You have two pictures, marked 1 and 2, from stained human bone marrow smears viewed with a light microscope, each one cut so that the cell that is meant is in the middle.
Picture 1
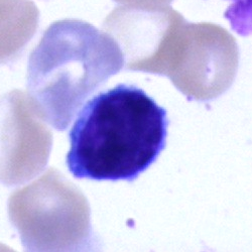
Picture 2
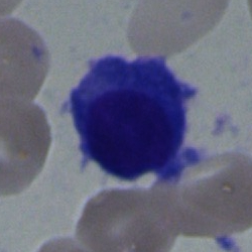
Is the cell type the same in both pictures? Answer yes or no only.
no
